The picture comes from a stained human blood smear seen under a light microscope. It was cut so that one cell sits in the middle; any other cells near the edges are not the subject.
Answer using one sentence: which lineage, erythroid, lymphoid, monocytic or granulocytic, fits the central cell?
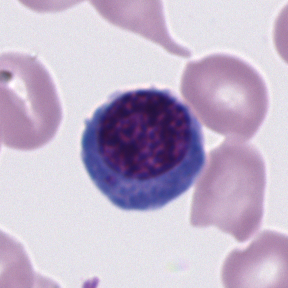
Of erythroid lineage is the cell at the center of the crop.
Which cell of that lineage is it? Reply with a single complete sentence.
Centred in the crop is a normoblast.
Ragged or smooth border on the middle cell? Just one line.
The outline traces a smooth curve with no projections along it.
